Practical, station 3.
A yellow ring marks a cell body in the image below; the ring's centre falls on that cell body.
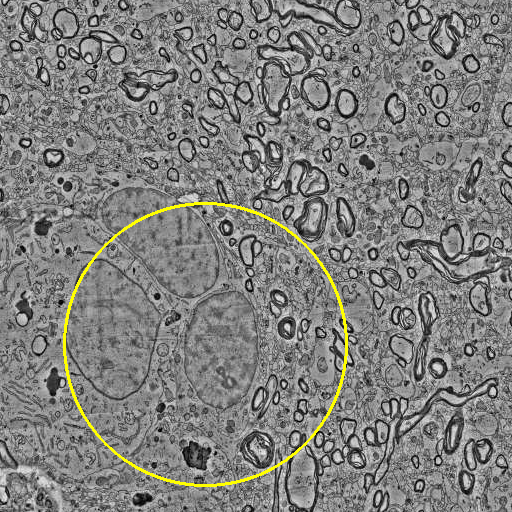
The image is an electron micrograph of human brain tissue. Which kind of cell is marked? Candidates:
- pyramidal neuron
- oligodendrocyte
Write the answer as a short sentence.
The marked cell body is that of an oligodendrocyte.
